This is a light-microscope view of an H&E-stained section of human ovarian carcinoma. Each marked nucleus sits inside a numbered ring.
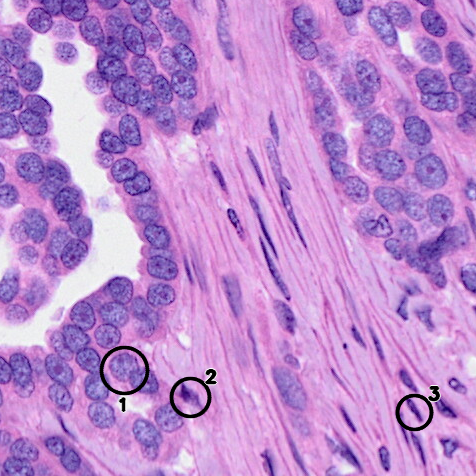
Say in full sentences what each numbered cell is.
Cell 1 is a carcinoma cell. Cells 2 and 3 are fibroblasts.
